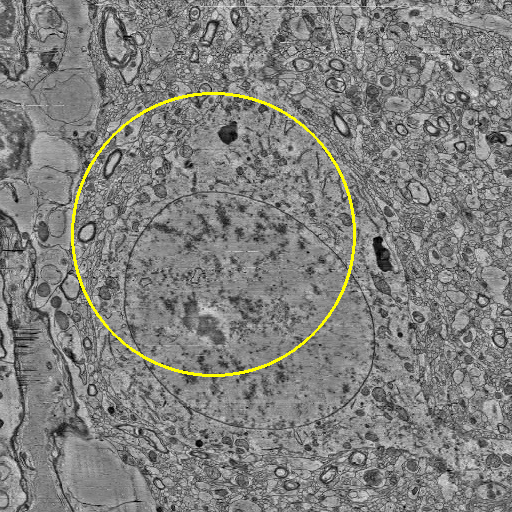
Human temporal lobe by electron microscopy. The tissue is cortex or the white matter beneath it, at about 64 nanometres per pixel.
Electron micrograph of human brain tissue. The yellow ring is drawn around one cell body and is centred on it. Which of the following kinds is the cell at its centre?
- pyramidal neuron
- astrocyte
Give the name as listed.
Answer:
pyramidal neuron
